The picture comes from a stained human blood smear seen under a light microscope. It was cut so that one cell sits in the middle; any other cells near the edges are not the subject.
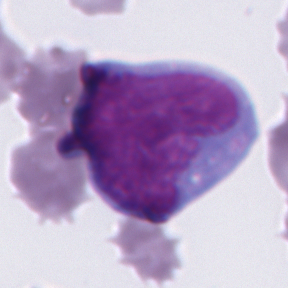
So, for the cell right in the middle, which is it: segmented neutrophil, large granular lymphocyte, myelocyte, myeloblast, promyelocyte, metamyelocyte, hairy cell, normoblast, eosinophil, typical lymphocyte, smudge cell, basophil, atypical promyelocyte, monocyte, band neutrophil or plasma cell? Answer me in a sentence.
Located at the centre of the crop is a myeloblast.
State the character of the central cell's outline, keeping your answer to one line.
The edge of the cell is broken up by ragged stretches or by outward projections.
